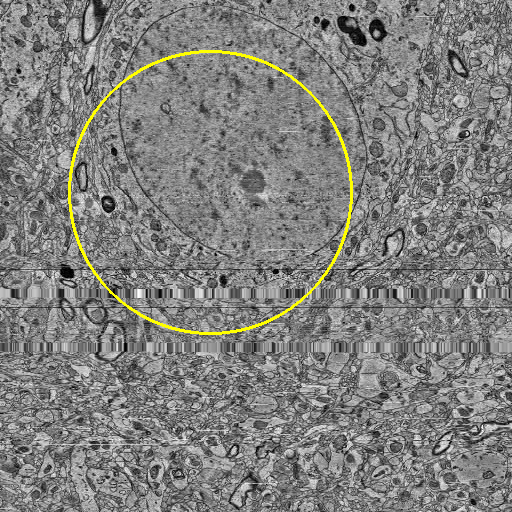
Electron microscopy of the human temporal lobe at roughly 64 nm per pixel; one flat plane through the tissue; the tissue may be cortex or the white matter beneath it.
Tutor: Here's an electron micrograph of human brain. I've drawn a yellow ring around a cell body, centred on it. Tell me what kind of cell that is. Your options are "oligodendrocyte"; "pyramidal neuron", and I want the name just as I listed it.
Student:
pyramidal neuron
